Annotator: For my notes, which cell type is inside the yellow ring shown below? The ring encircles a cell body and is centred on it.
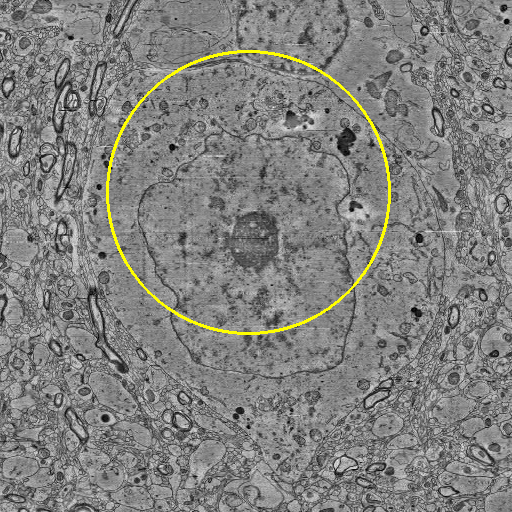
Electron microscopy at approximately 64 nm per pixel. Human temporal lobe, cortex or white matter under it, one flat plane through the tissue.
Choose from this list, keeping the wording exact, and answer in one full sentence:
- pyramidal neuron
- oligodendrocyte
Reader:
At the centre of the yellow ring there is a pyramidal neuron, as shown in the picture.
